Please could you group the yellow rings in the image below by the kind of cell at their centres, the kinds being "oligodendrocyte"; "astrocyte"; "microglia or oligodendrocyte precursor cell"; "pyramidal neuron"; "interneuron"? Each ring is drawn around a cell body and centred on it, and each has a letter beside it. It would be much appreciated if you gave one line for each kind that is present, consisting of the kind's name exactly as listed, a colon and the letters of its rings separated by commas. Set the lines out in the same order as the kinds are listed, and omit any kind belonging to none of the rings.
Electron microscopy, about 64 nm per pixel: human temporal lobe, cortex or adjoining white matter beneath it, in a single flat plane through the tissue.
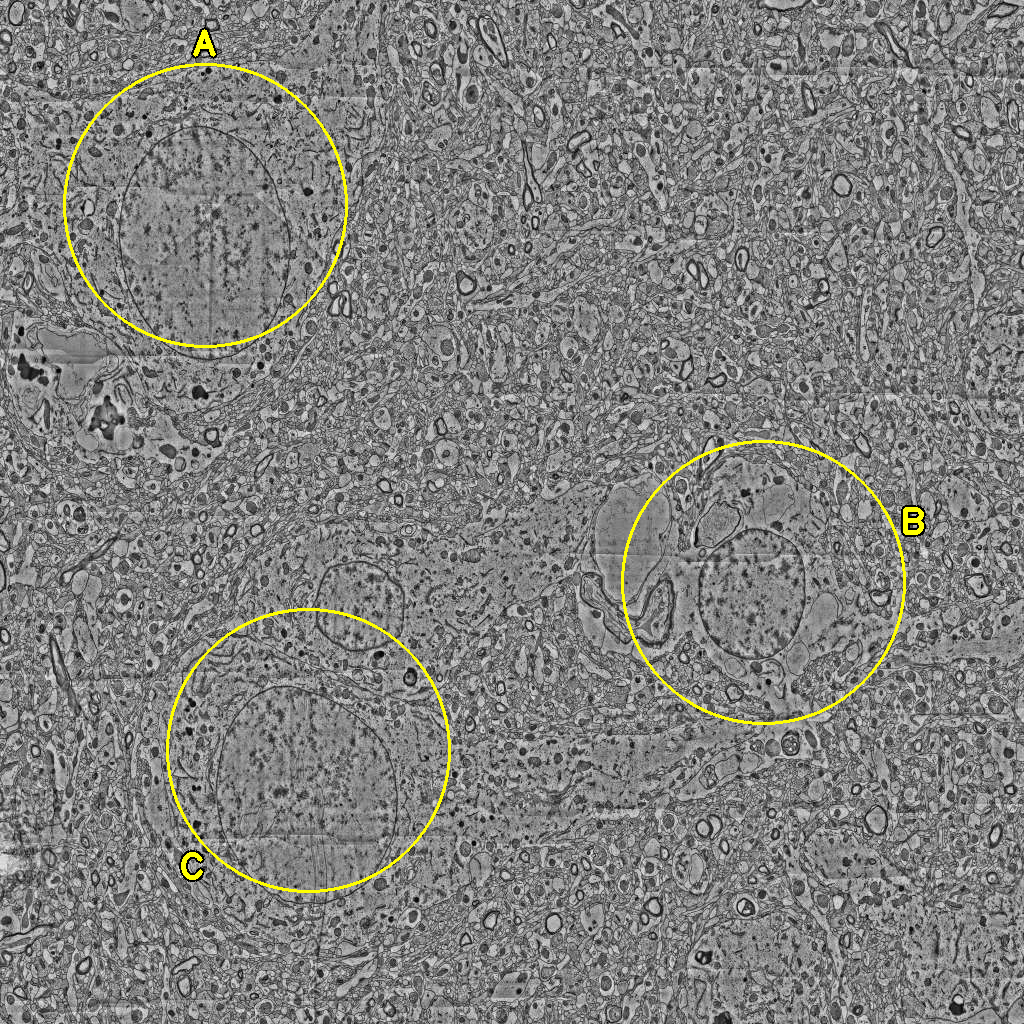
astrocyte: B
pyramidal neuron: A, C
